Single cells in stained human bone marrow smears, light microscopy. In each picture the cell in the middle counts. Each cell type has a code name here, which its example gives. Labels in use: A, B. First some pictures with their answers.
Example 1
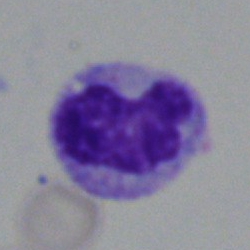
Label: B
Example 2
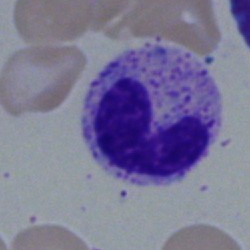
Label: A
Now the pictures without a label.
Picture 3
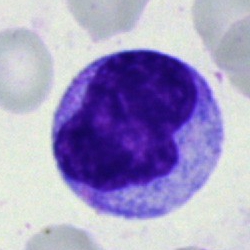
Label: B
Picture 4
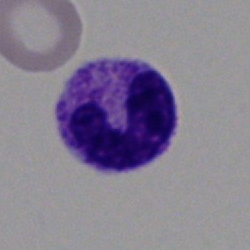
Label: A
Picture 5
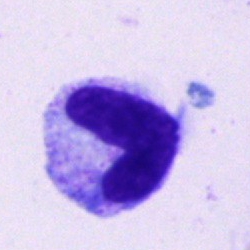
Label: A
